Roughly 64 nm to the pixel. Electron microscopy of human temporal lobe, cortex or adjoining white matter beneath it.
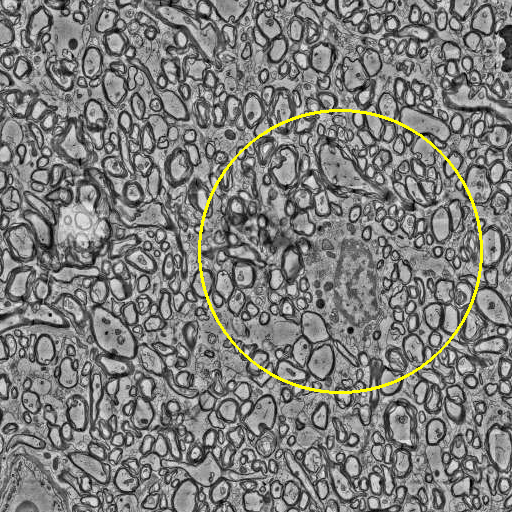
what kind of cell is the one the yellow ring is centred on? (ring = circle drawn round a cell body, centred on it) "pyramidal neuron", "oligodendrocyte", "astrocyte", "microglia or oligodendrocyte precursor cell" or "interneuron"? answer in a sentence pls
The ring is drawn around an oligodendrocyte.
